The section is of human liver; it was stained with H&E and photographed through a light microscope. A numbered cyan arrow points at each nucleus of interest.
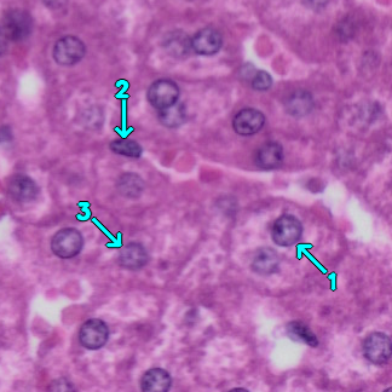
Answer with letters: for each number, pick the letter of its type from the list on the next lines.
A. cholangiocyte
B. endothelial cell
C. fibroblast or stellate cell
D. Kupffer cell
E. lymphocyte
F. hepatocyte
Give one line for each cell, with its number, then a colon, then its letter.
1: F
2: C
3: F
